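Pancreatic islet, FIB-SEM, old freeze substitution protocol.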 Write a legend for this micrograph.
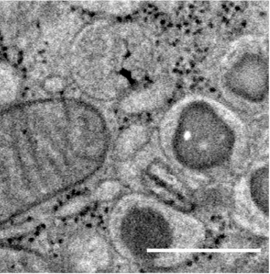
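The granules are round, bounded by a membrane, and have a dark core surrounded by a pale halo. A mitochondrion with parallel cristae lies at the left. Many small, intensely black dots are scattered through the cytoplasm, especially in the upper part of the field.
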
